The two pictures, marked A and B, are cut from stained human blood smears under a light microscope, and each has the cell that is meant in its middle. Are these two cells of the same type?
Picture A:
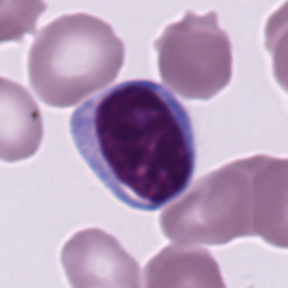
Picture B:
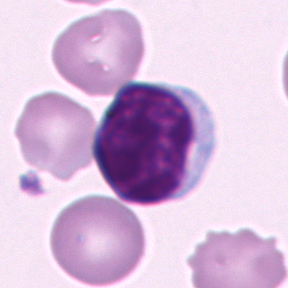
yes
